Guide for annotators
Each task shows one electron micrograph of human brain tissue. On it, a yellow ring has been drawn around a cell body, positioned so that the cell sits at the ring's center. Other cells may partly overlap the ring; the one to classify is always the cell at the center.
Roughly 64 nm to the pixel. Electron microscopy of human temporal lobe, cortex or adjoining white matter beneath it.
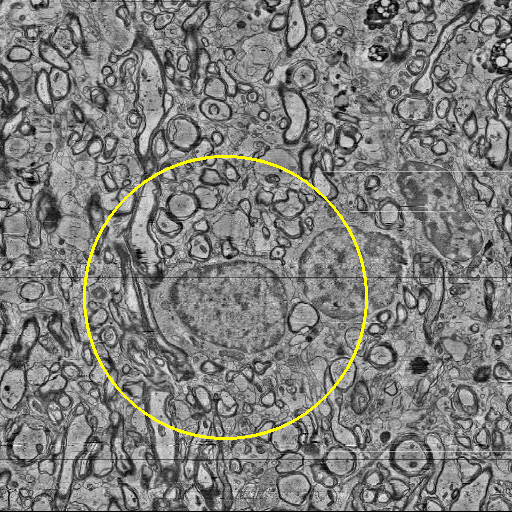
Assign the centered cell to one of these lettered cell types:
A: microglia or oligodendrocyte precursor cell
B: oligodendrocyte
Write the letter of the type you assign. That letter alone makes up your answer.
B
